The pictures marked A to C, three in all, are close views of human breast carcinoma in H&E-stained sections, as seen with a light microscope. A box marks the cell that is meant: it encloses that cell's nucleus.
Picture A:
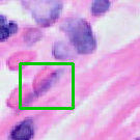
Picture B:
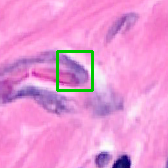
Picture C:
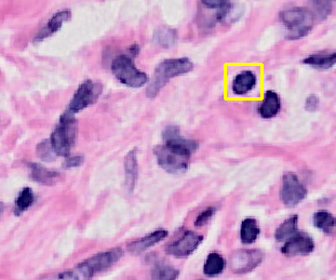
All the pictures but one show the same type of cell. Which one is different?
C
